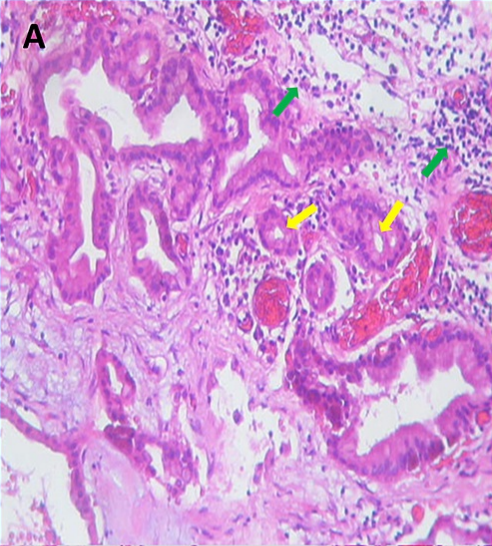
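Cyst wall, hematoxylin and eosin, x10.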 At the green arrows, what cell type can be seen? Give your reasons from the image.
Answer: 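Inflammatory cells. The green arrows point at dense clusters of small, round, dark nuclei in the stroma. These cells lie between the glands, outside the epithelial lining.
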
